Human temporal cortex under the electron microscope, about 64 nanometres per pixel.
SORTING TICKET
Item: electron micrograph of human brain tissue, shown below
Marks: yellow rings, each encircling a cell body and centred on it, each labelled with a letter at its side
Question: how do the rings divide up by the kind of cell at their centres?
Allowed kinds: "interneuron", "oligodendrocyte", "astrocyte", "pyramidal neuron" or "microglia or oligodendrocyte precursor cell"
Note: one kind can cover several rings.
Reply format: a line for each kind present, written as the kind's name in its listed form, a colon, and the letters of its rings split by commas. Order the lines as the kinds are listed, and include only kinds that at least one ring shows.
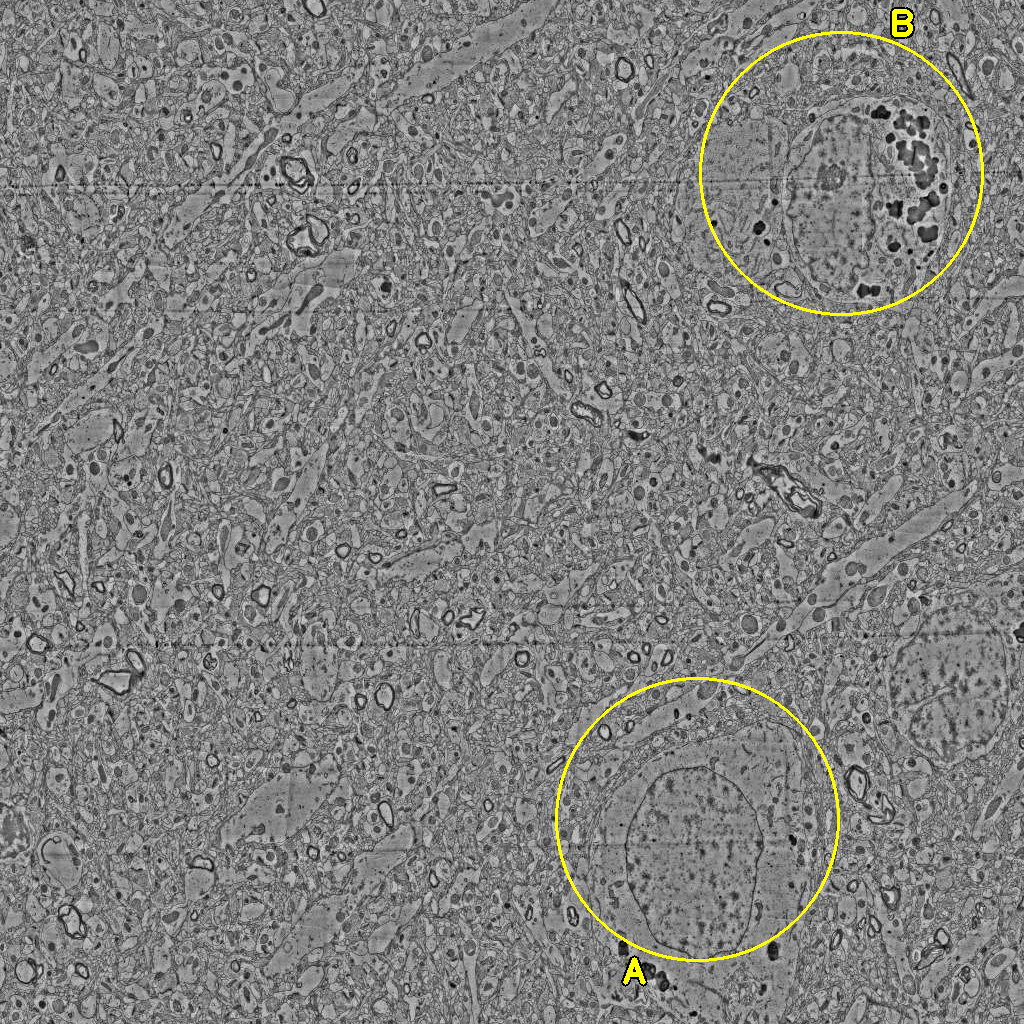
interneuron: B
pyramidal neuron: A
